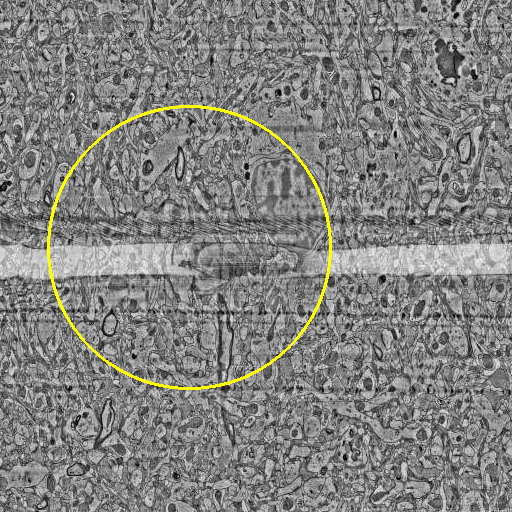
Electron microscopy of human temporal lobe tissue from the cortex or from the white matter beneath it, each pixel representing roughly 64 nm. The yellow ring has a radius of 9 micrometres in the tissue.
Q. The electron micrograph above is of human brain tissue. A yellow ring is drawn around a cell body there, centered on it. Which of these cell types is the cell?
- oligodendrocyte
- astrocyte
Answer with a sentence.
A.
The cell under the ring's center is an astrocyte.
